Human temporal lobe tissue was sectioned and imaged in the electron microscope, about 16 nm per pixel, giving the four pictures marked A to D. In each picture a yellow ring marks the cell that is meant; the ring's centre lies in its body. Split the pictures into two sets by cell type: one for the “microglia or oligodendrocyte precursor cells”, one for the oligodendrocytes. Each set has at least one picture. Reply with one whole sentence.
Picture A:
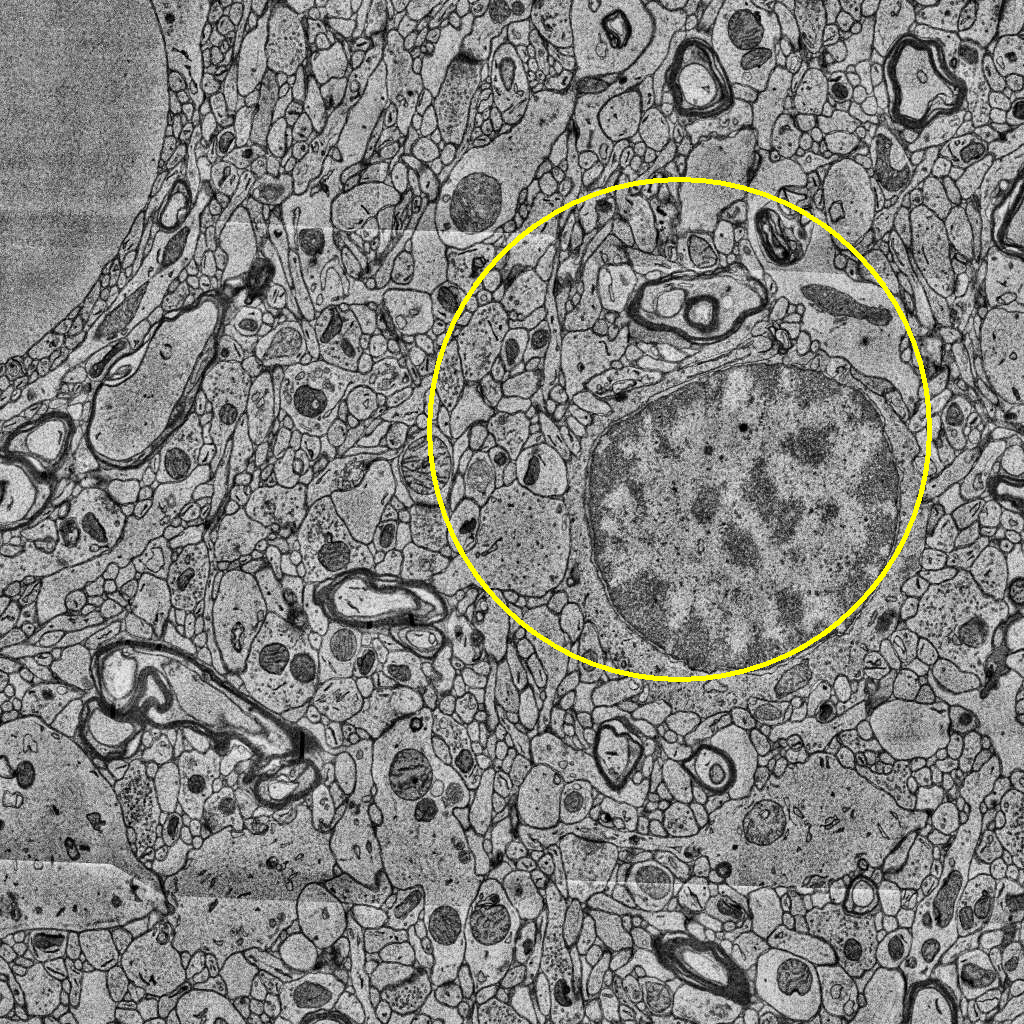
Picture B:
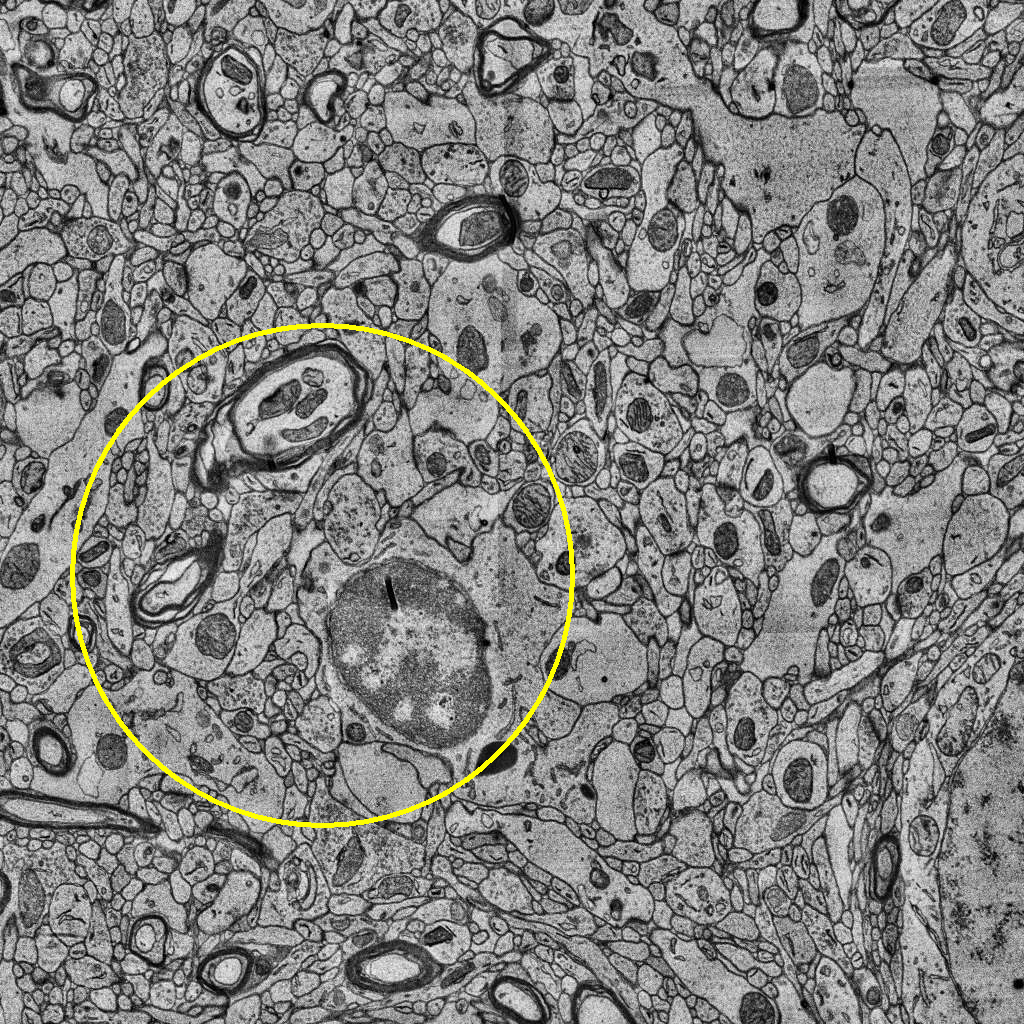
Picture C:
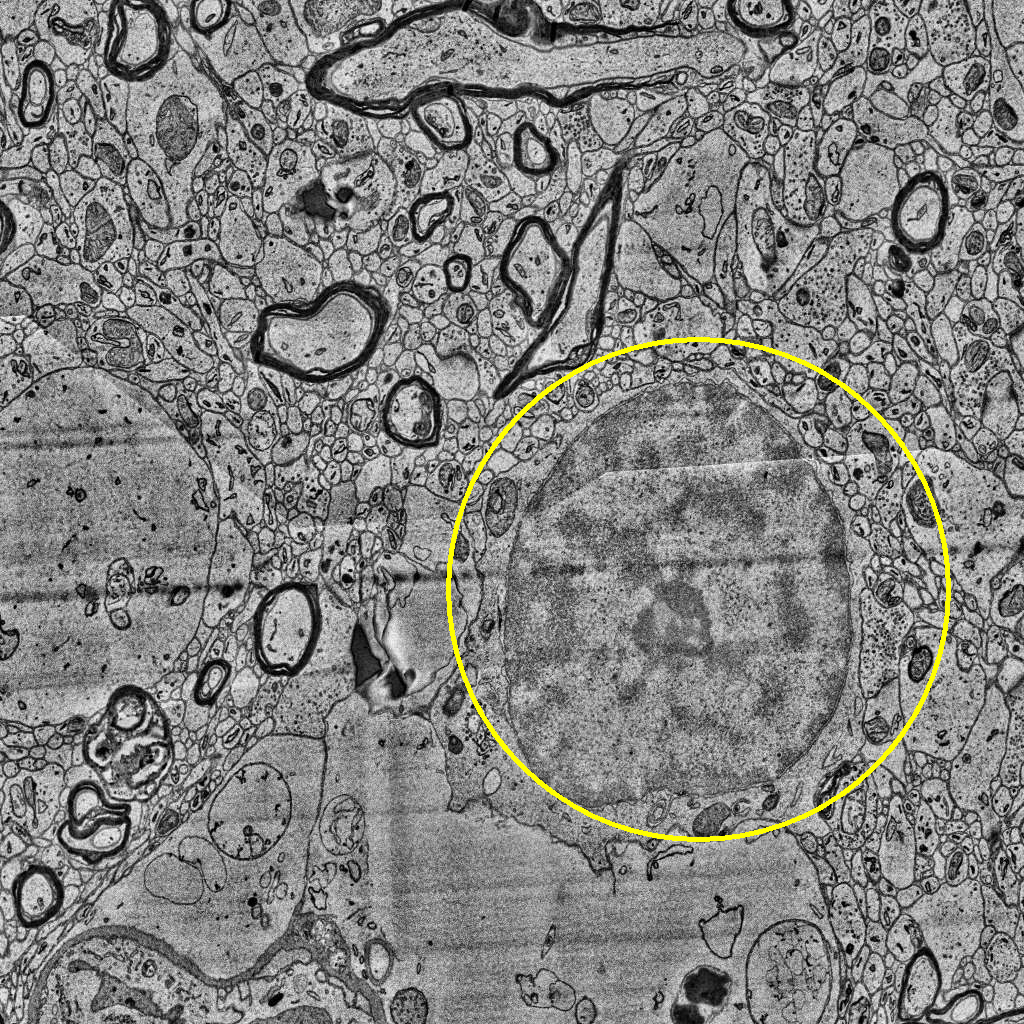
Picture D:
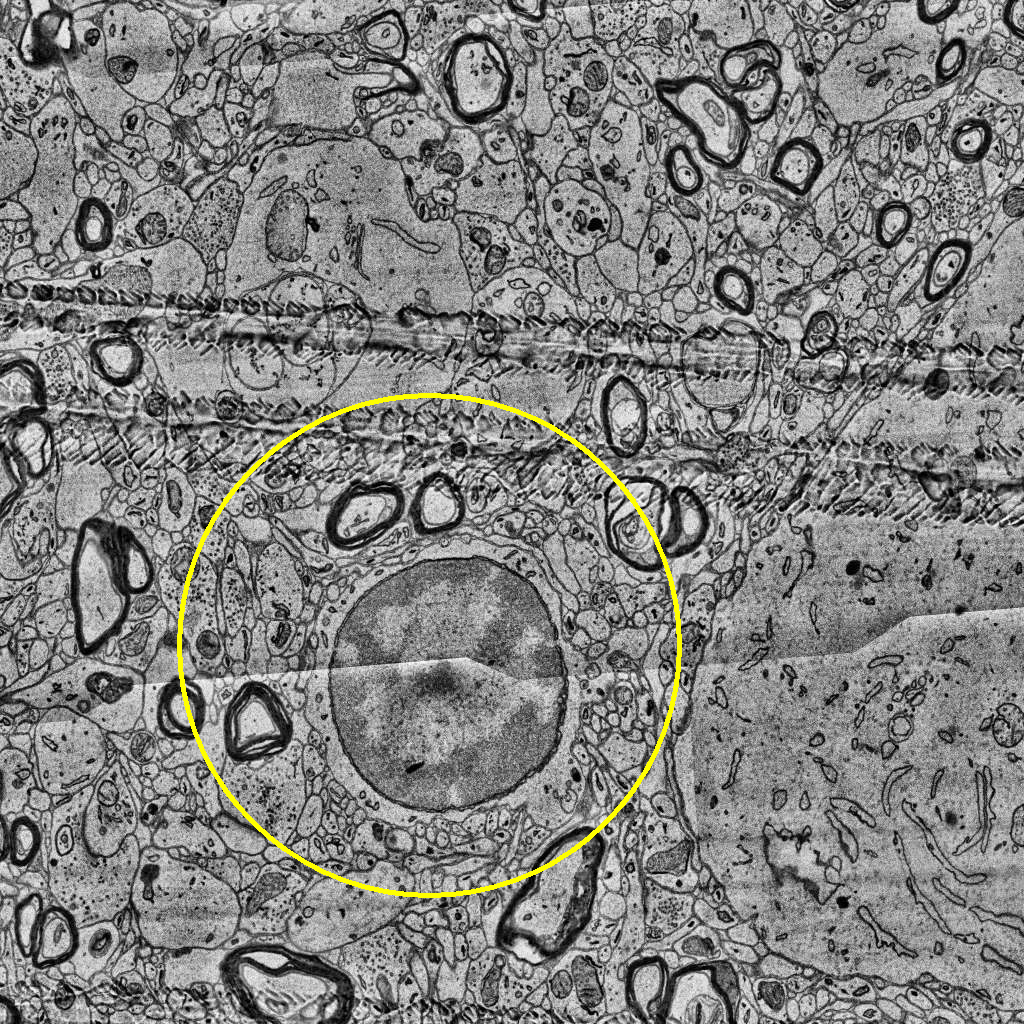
Pictures B and D show “microglia or oligodendrocyte precursor cells”, and pictures A and C show oligodendrocytes.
